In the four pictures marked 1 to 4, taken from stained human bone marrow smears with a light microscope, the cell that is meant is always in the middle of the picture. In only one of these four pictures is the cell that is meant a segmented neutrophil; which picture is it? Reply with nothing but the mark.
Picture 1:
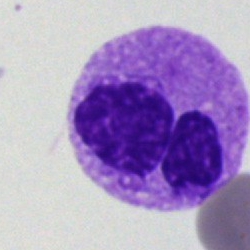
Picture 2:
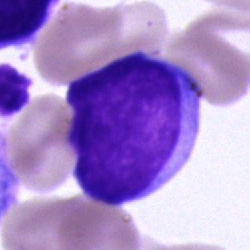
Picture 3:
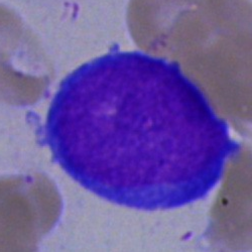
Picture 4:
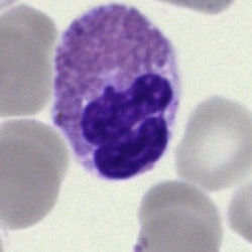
1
